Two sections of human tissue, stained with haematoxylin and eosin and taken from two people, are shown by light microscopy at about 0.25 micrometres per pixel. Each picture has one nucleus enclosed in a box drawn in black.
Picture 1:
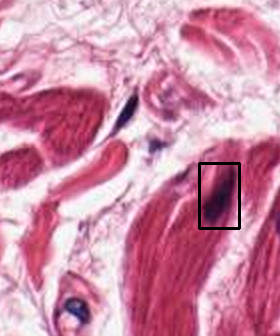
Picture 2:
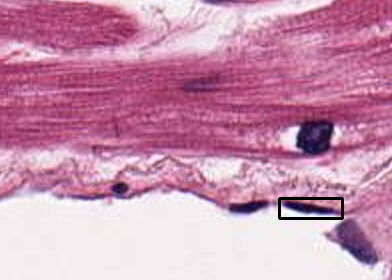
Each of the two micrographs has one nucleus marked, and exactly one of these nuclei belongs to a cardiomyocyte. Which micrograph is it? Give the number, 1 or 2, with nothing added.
1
